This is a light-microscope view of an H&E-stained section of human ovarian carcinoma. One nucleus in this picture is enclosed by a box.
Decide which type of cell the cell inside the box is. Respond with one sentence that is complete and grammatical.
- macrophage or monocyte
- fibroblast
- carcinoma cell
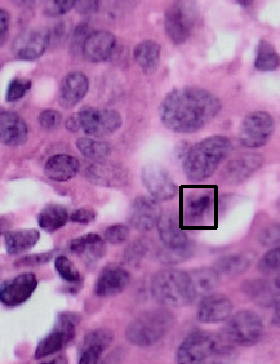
So far as cell type goes, the cell inside the box is a carcinoma cell.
